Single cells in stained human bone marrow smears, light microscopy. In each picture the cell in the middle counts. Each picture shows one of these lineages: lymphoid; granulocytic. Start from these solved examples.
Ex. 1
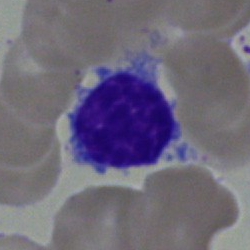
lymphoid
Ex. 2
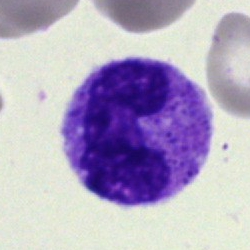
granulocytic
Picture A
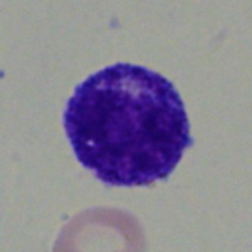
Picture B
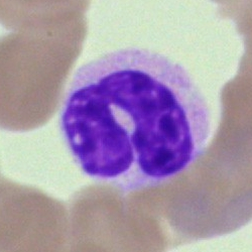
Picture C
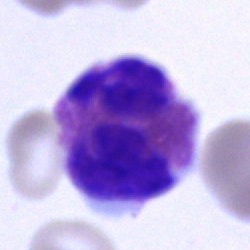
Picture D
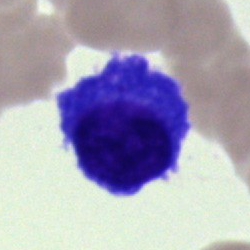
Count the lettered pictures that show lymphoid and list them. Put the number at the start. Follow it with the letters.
1: D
